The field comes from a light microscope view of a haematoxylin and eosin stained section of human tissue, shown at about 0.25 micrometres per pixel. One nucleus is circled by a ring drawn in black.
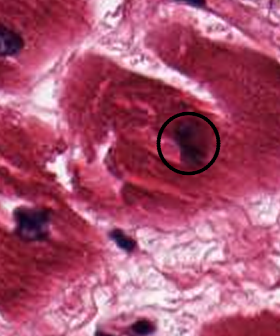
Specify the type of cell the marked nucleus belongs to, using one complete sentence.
The cell whose nucleus is marked is a cardiomyocyte.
